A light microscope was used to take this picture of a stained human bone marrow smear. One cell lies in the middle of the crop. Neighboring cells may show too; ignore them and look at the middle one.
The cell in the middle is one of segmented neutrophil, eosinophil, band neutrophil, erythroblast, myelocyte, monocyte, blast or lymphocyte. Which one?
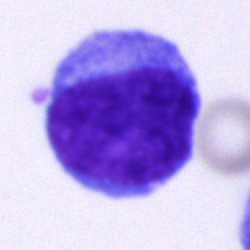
blast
